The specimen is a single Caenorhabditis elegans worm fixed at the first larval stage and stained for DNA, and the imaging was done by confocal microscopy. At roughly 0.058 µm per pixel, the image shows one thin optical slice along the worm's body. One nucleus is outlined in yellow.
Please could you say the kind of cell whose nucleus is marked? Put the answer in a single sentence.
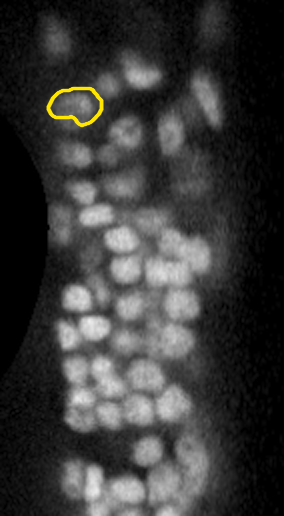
It is the nucleus of a cell of the excretory system.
